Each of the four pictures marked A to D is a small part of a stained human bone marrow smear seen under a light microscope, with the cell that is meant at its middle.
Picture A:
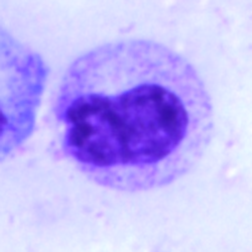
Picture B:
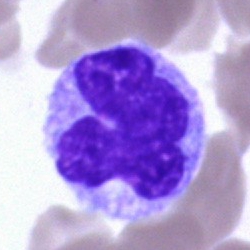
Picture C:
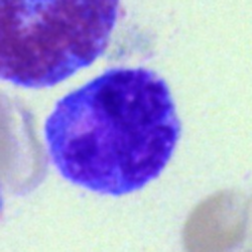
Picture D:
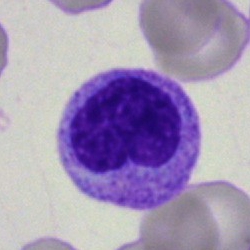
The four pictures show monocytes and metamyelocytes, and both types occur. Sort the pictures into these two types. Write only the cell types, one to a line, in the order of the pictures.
metamyelocyte
monocyte
monocyte
metamyelocyte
